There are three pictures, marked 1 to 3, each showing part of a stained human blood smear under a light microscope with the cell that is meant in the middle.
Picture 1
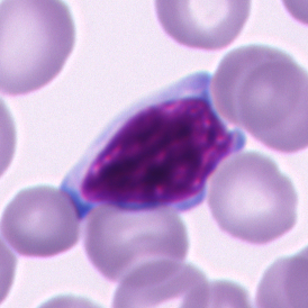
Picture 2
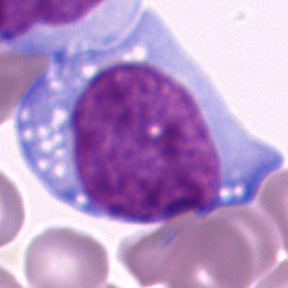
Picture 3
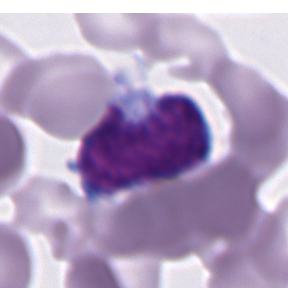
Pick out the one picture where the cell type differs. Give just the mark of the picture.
2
